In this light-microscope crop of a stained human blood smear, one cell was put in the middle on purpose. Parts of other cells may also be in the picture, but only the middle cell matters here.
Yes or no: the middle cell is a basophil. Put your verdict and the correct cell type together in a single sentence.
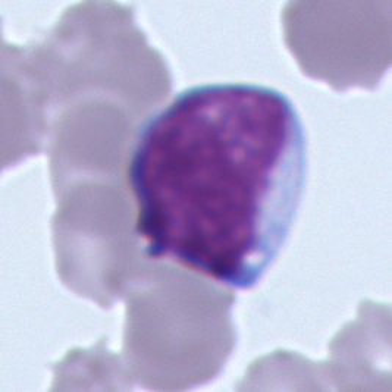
No, the middle cell is actually a lymphocyte rather than a basophil.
